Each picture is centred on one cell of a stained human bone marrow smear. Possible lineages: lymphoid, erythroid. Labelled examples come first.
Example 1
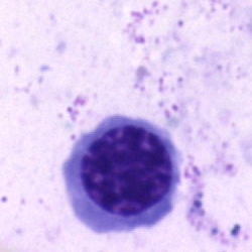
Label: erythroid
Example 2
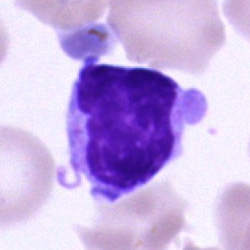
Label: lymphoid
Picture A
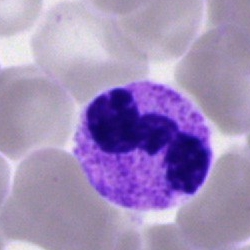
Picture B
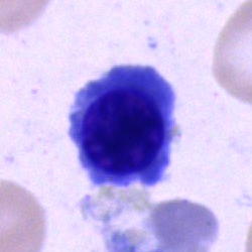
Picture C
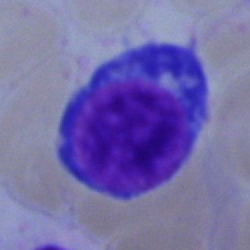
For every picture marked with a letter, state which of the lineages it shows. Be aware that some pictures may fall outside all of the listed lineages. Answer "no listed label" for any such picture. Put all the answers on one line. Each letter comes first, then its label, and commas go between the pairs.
A no listed label, B erythroid, C erythroid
